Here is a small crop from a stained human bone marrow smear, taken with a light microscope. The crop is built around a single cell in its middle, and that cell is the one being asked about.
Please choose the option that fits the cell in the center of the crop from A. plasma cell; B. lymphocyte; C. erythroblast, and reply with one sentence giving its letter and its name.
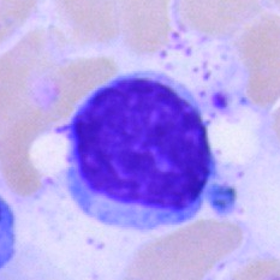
With the cell in the middle being a lymphocyte, option B is the correct choice.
